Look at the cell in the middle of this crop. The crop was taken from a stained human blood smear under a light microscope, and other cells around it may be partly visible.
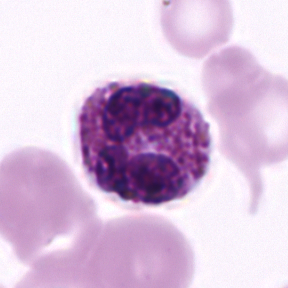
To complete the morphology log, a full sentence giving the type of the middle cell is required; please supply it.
The centrally located cell in the crop is an eosinophil.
